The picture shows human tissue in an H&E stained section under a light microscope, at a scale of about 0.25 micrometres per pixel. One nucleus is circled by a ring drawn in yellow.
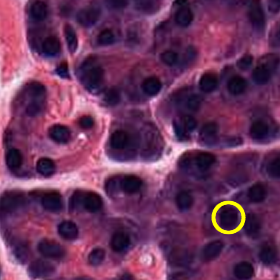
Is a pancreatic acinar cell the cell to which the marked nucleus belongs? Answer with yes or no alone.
yes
